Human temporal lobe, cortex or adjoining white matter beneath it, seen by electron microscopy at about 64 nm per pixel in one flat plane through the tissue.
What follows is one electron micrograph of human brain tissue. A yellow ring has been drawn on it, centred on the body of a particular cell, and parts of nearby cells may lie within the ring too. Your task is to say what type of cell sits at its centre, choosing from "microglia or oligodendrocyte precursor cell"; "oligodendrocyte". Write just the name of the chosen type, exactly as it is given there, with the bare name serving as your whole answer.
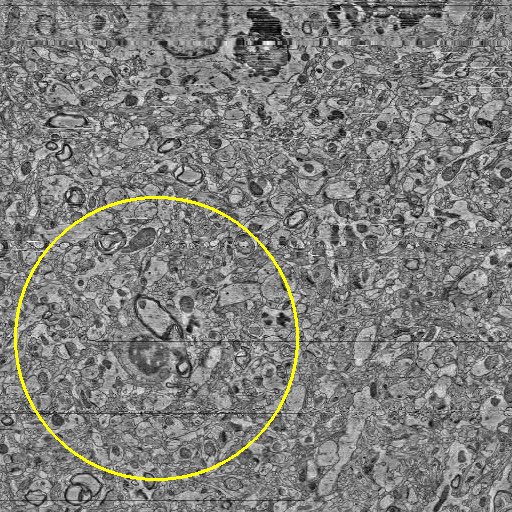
oligodendrocyte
